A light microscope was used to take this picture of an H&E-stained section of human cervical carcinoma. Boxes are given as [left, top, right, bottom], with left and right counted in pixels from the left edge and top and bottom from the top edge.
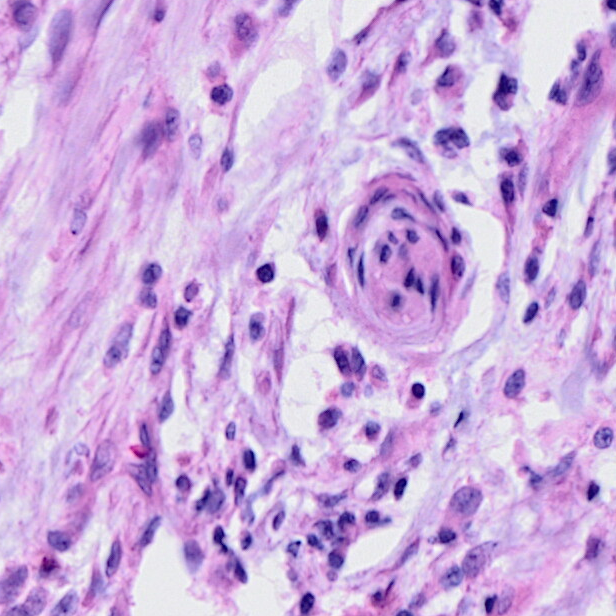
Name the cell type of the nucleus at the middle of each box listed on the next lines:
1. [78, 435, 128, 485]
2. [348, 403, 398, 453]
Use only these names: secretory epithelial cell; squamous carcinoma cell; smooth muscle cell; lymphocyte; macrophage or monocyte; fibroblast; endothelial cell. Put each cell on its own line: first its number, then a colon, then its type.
1: endothelial cell
2: lymphocyte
